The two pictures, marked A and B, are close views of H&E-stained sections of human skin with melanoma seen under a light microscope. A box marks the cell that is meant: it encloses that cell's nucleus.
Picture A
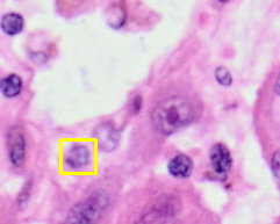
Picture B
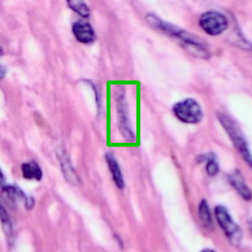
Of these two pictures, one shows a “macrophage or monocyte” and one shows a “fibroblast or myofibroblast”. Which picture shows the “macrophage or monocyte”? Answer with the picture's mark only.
A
